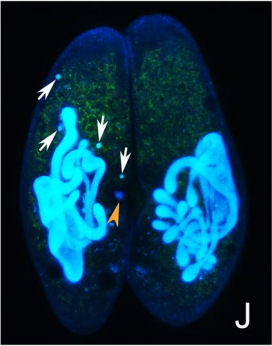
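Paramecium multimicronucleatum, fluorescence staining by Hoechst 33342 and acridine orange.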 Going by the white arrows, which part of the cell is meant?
Degenerating nuclei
